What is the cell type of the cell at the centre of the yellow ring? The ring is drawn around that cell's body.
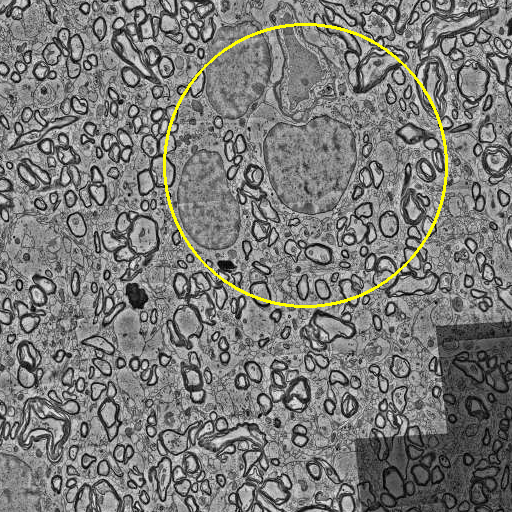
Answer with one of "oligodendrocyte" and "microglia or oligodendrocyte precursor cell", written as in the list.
microglia or oligodendrocyte precursor cell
